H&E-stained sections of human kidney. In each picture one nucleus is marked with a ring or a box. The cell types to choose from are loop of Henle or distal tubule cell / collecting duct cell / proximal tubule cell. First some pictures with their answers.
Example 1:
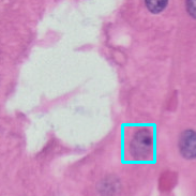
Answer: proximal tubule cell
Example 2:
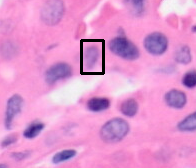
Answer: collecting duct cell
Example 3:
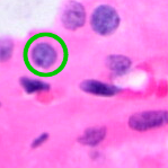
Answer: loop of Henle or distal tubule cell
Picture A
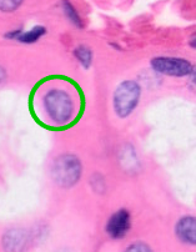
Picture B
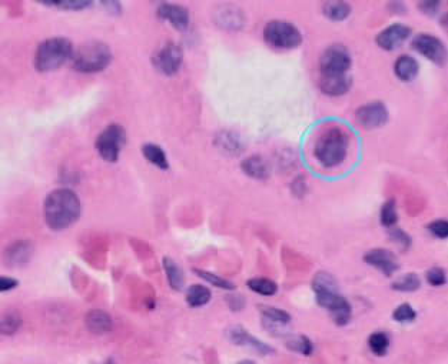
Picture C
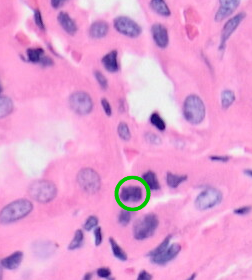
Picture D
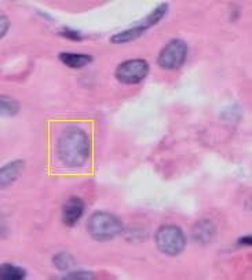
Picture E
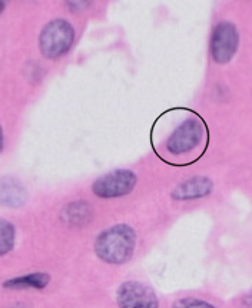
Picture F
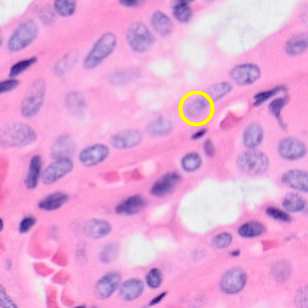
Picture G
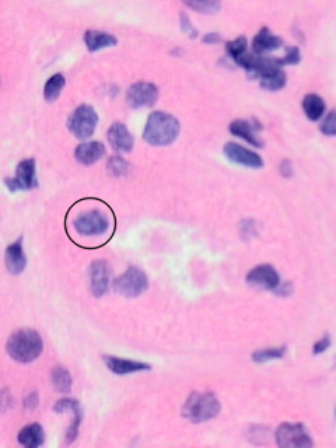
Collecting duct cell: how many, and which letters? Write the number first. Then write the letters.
Count: 2 (C, F)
